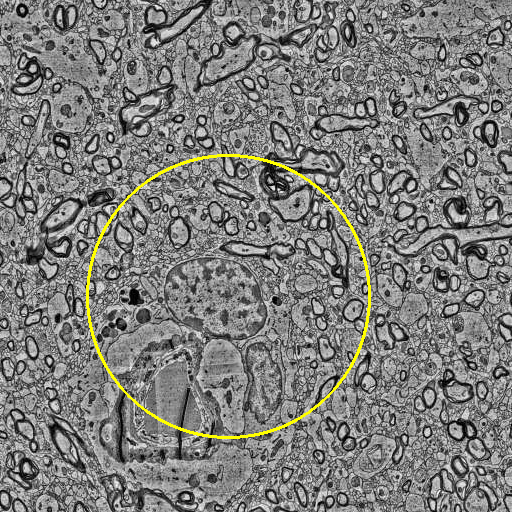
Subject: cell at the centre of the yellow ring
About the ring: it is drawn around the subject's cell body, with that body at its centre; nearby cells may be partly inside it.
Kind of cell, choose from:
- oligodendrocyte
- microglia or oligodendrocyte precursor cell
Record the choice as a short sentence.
The subject cell is a microglial cell or oligodendrocyte precursor cell.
